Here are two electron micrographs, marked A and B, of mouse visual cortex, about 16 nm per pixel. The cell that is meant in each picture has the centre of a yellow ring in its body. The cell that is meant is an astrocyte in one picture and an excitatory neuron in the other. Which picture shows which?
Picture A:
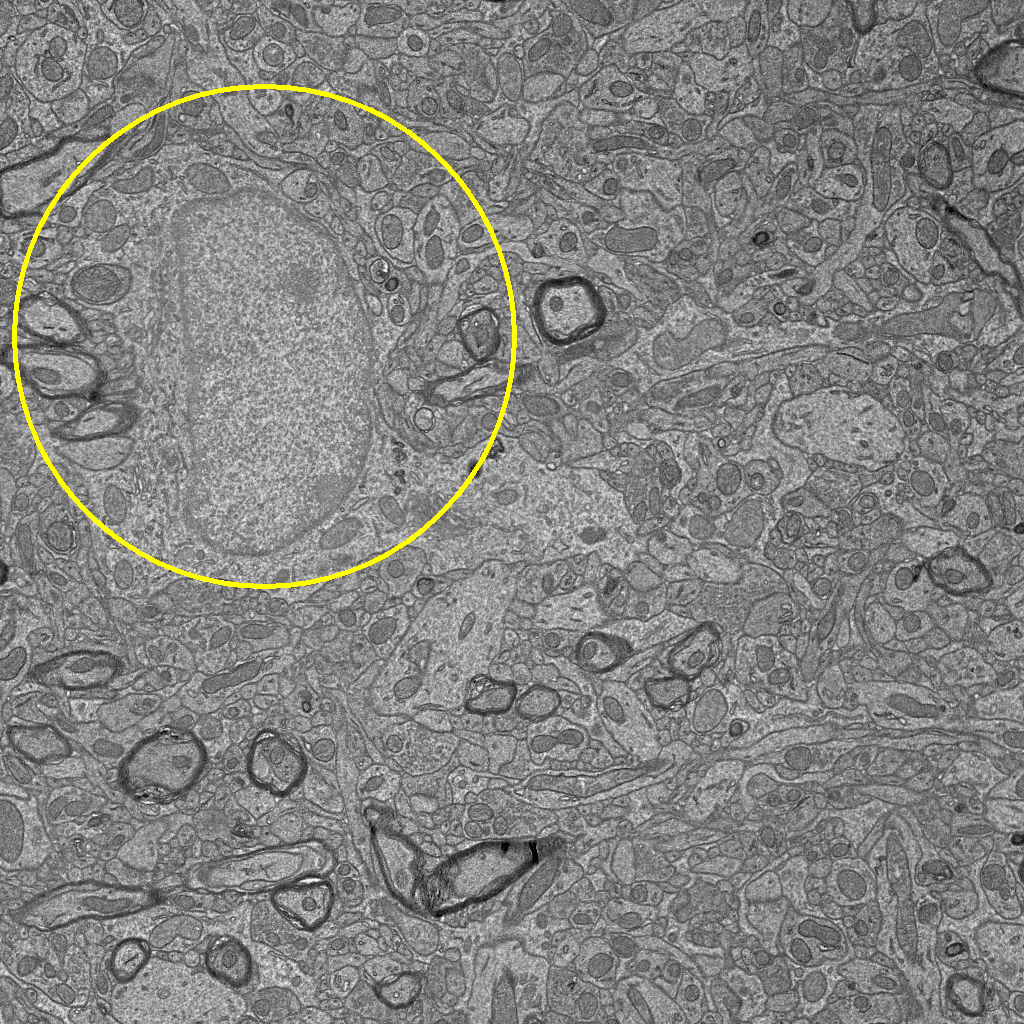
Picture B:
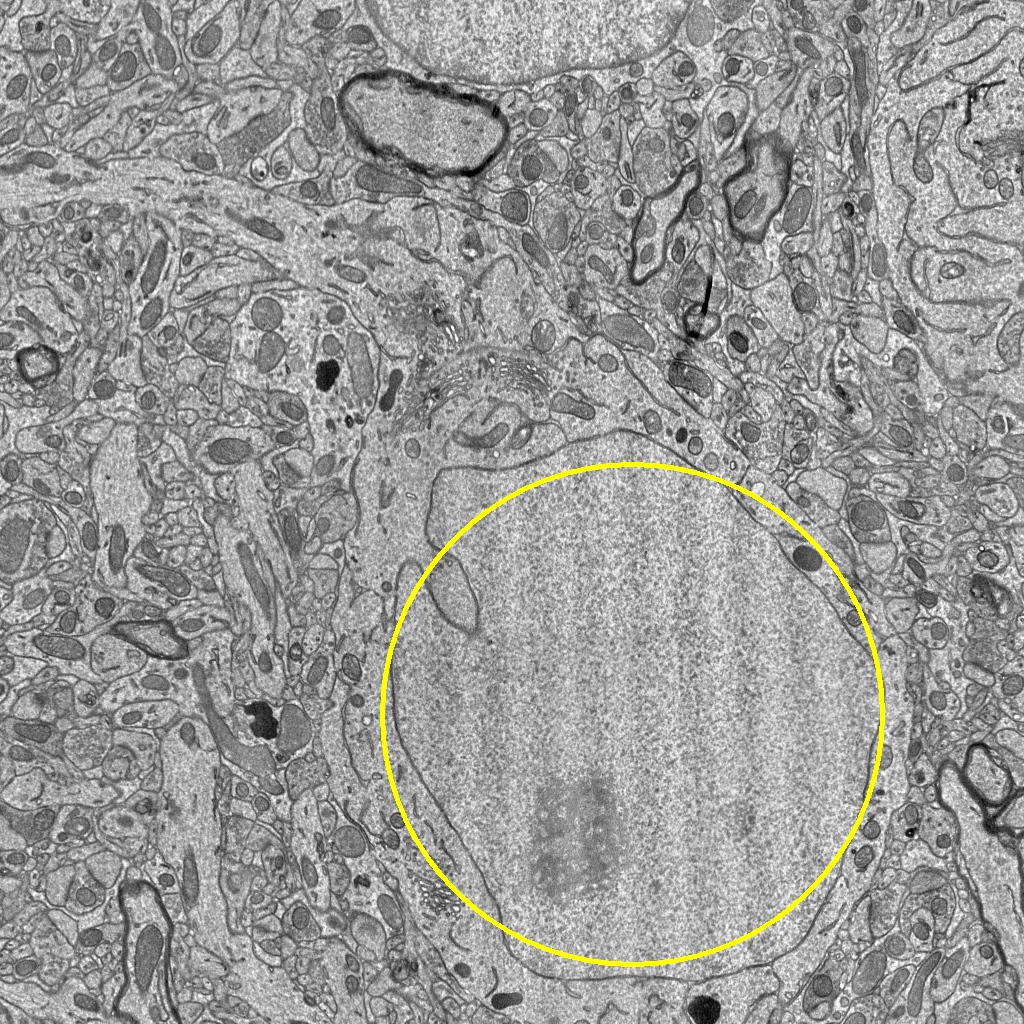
It is picture A that shows an astrocyte, and picture B that shows an excitatory neuron.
